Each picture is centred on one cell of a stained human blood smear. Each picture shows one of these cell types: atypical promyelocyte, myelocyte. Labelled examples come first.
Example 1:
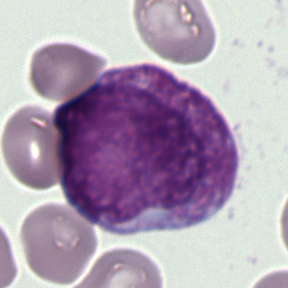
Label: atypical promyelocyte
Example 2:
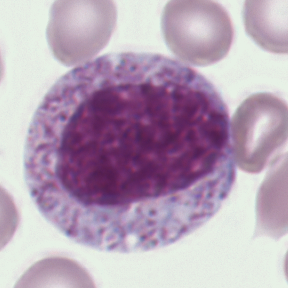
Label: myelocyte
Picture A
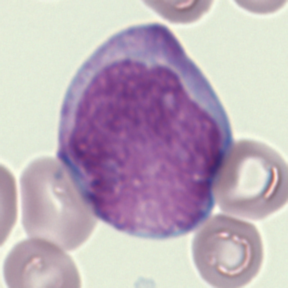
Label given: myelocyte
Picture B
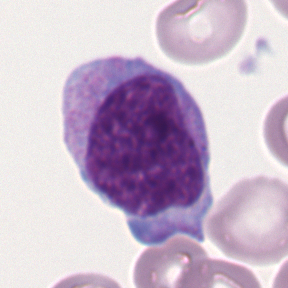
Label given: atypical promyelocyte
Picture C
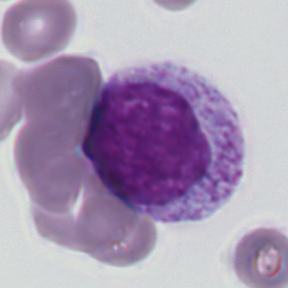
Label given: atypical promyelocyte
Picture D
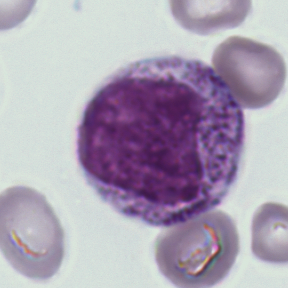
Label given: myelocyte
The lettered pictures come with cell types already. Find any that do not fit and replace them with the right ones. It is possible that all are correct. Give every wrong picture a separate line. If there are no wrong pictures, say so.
Wrong: A (myelocyte); correct: atypical promyelocyte
Wrong: C (atypical promyelocyte); correct: myelocyte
